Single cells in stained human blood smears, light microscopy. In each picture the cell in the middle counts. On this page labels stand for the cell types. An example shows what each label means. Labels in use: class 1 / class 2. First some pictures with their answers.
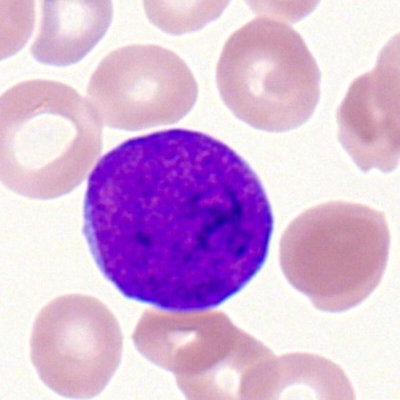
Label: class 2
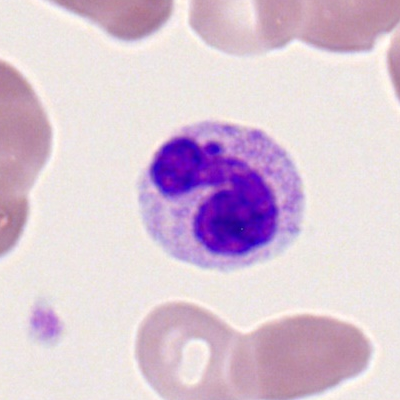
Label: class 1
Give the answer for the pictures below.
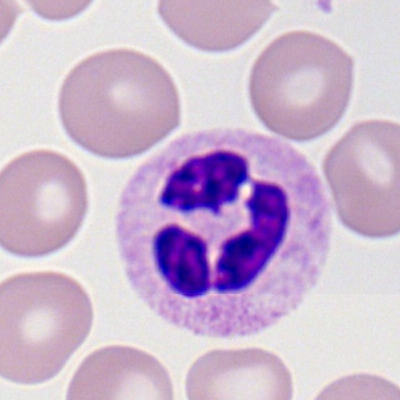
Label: class 1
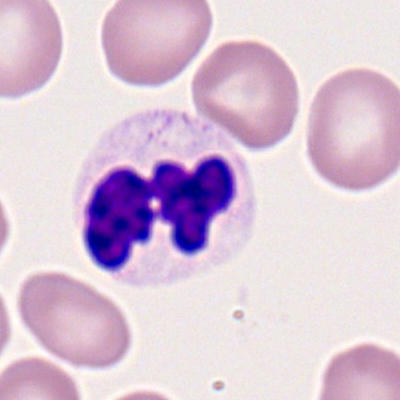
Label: class 1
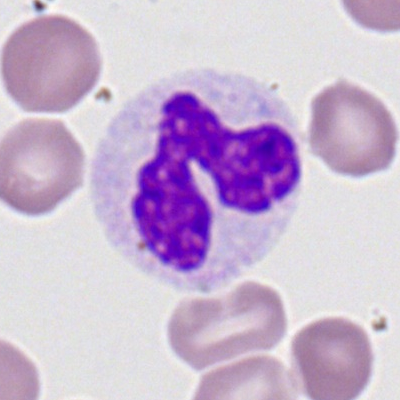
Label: class 1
